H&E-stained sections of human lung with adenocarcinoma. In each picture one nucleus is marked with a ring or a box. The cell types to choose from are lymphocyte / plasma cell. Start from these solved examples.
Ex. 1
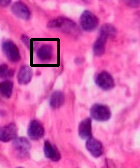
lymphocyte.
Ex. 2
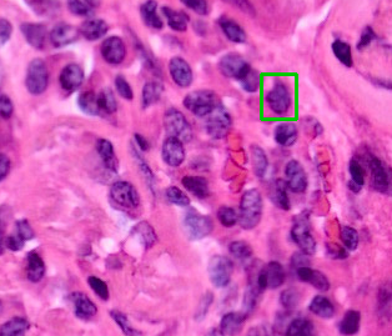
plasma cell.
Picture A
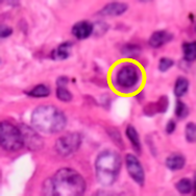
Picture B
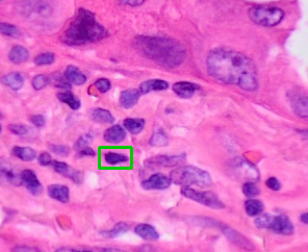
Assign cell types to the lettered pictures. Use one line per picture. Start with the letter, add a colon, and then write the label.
A: plasma cell.
B: lymphocyte.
